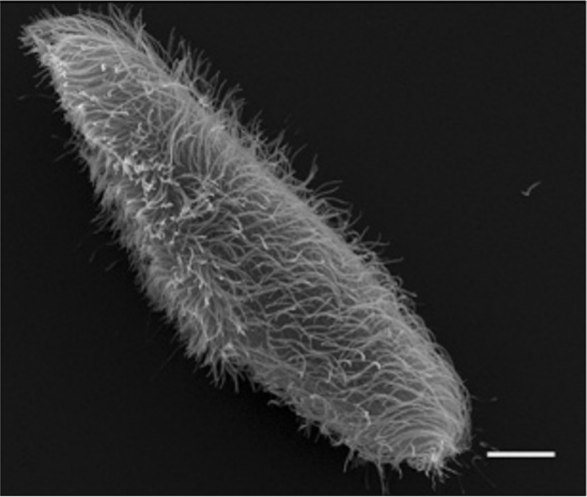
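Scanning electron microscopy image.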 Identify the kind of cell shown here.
Paramecium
